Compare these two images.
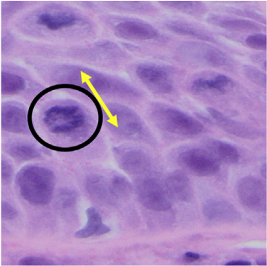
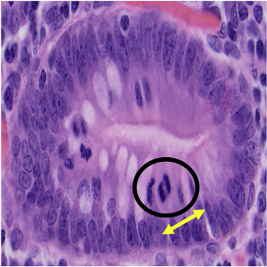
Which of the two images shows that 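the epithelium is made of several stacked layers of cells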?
The first image.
